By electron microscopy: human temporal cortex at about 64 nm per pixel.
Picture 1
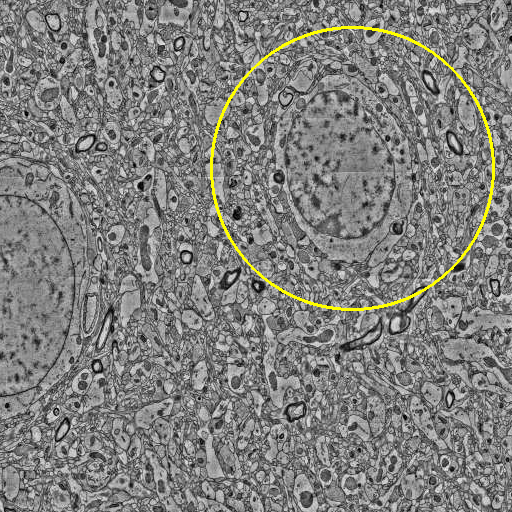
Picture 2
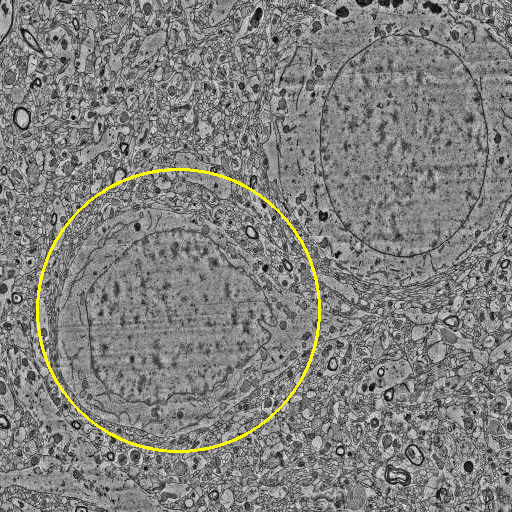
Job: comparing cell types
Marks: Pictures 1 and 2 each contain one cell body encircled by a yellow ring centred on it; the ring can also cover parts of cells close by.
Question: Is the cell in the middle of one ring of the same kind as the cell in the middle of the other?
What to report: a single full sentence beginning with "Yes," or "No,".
Yes, the cell at the ring centre in Picture 1 and its partner in Picture 2 are of one kind.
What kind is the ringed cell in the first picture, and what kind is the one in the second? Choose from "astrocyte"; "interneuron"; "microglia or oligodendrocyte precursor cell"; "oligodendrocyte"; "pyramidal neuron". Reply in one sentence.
Each of the two cells is an interneuron.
